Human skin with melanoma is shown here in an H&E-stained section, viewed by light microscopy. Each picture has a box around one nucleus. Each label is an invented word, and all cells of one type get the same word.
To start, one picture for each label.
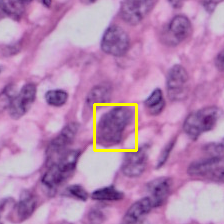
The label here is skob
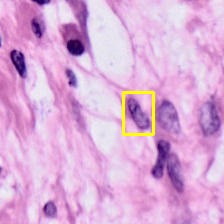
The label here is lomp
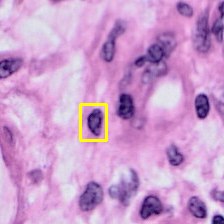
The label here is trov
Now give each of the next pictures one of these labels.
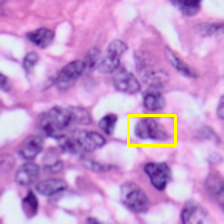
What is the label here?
skob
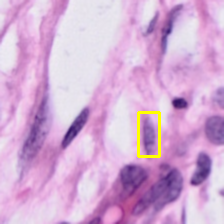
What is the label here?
lomp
